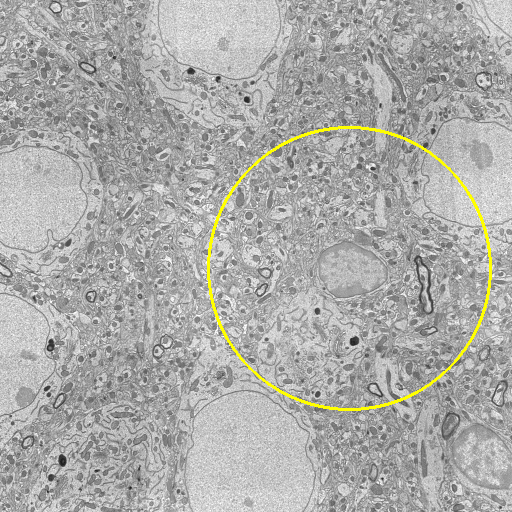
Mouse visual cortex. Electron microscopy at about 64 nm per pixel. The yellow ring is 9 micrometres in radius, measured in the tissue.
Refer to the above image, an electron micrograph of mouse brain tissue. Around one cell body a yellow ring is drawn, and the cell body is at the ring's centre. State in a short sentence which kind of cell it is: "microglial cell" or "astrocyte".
The centre of the ring falls on a microglial cell.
